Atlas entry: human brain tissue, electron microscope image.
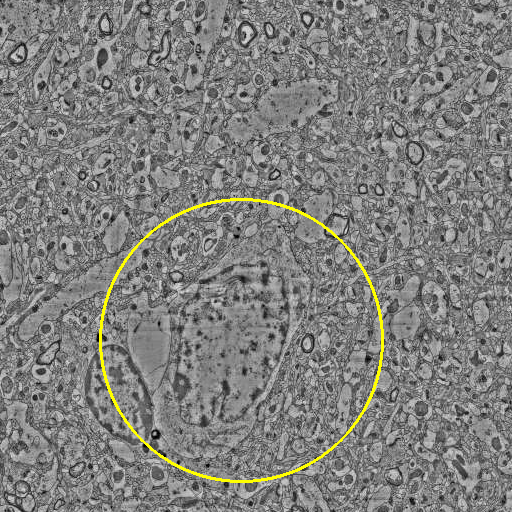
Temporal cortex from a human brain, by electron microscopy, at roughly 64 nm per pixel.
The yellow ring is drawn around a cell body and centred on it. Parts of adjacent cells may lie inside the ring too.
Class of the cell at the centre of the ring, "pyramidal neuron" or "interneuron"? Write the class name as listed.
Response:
interneuron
